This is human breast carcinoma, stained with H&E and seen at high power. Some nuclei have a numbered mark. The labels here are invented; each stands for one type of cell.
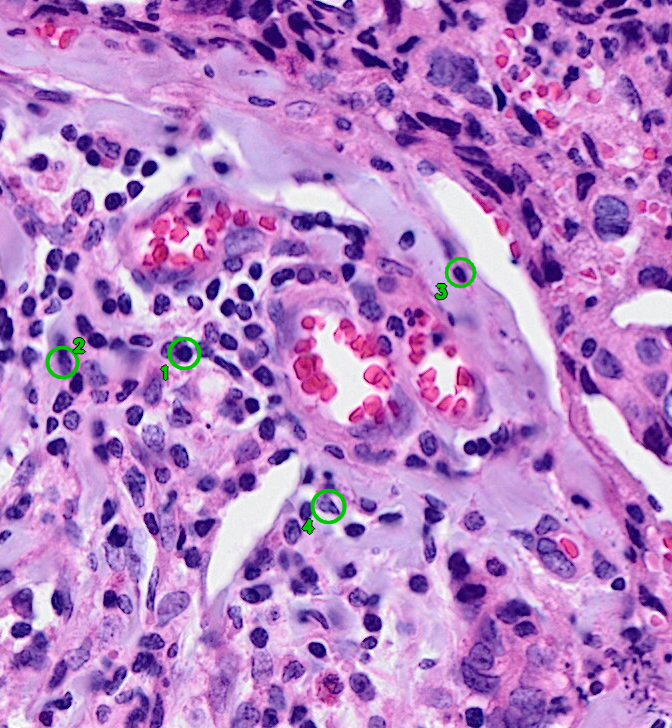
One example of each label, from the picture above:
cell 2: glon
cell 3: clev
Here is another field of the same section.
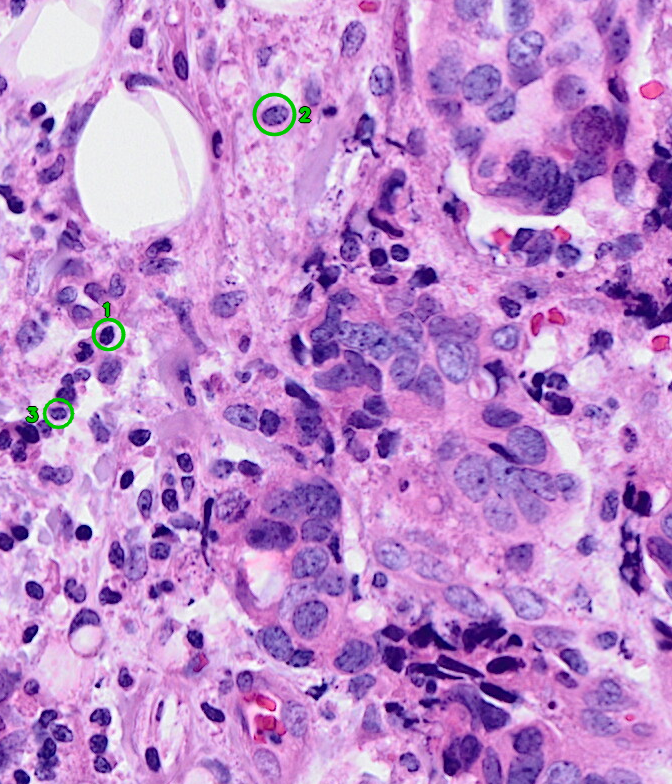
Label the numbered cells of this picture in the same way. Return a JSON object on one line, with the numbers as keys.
{"1": "glon", "2": "clev", "3": "glon"}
